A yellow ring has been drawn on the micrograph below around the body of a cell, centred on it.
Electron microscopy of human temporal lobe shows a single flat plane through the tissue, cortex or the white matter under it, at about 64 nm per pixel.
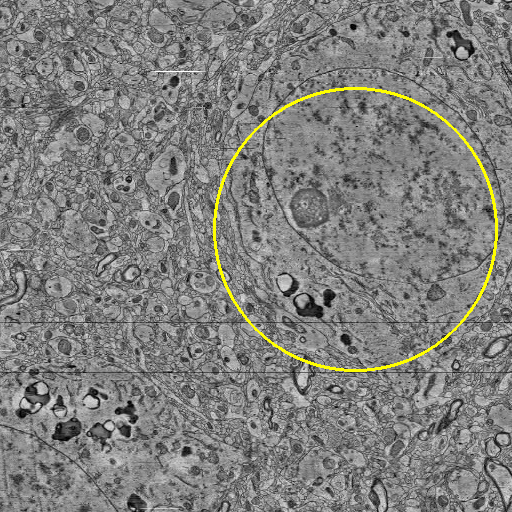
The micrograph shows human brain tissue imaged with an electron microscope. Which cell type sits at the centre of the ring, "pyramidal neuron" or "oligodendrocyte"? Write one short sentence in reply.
The cell sitting at the centre of the ring is a pyramidal neuron.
